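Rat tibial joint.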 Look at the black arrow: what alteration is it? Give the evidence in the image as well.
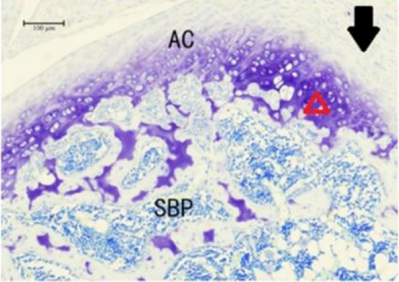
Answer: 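The superficial band of cartilage under the arrow is pale, while the deeper cartilage is deep purple. That points to this answer: absence of staining in cartilage surface.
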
